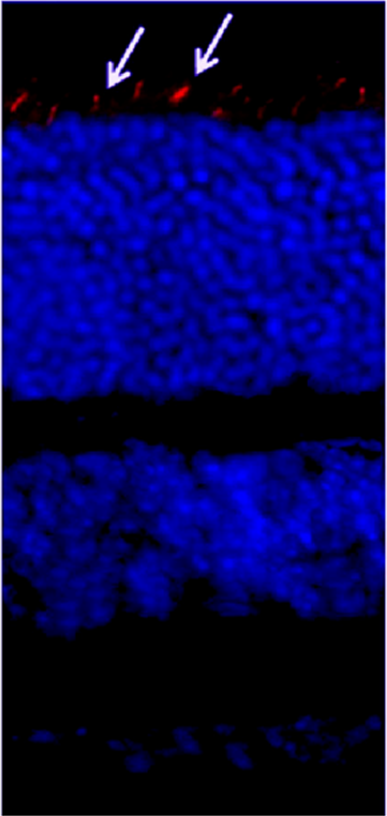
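This is a cross-section through the retina, with photoreceptor outer segments at the top and the layers of nuclei stacked below. At the very top a row of short, slender red streaks marks the outer segments of photoreceptors. Beneath them lies the outer nuclear layer, a thick band of many rows of small, tightly packed blue nuclei. Below it a dark, nucleus-free strip is the outer plexiform layer, followed by the inner nuclear layer, a thinner band of blue nuclei. Another dark strip, the inner plexiform layer, separates it from a sparse single row of nuclei in the ganglion cell layer at the bottom.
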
